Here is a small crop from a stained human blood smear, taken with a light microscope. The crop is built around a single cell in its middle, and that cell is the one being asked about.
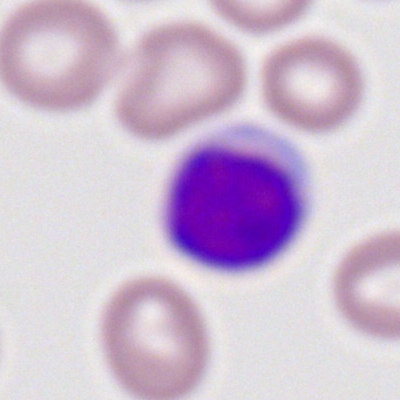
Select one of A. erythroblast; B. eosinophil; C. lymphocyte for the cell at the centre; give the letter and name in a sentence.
The cell centred in the crop is a lymphocyte, and the correct option is thus C.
